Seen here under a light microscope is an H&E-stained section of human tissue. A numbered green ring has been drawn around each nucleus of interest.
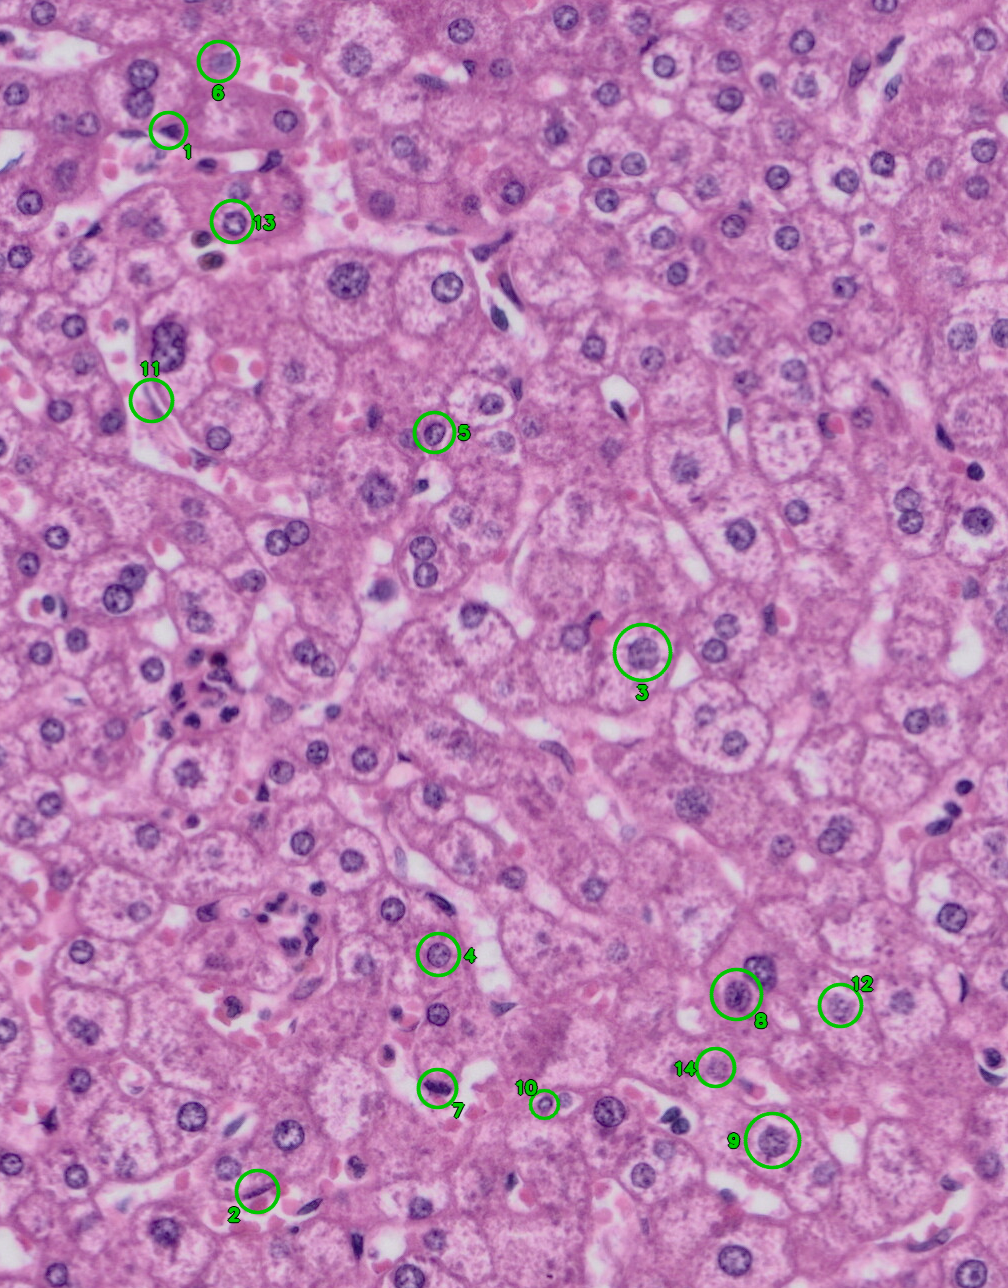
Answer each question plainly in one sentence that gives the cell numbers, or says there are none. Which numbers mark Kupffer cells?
The cells assigned the numbers 10 and 11 are Kupffer cells.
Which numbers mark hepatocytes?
The cells that have numbers 3, 4, 5, 8, 9, 12, 13 and 14 are hepatocytes.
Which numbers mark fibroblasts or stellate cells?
In short, the numbered cells 1, 2 and 7 are fibroblasts or stellate cells.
